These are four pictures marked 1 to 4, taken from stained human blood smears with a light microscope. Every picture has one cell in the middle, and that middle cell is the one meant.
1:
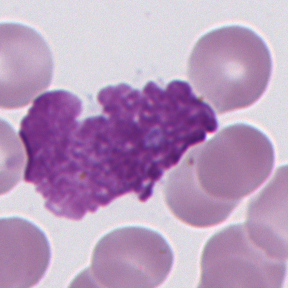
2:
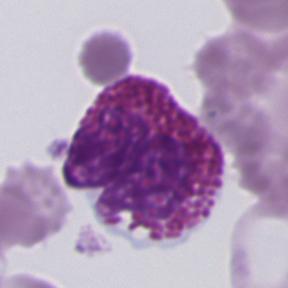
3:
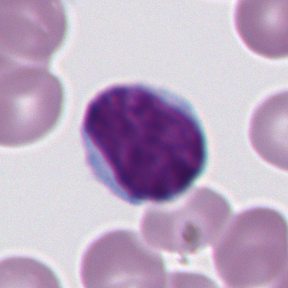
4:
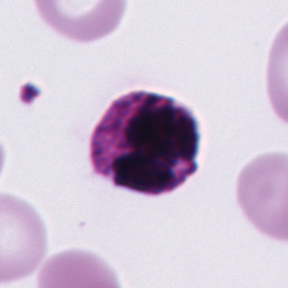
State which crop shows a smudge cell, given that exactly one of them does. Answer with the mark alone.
1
